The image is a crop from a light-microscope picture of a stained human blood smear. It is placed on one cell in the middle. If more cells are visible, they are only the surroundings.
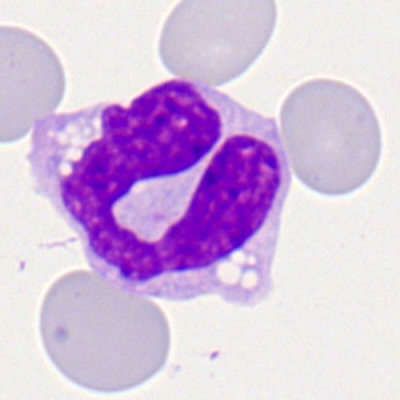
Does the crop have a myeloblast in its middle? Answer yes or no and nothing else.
no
